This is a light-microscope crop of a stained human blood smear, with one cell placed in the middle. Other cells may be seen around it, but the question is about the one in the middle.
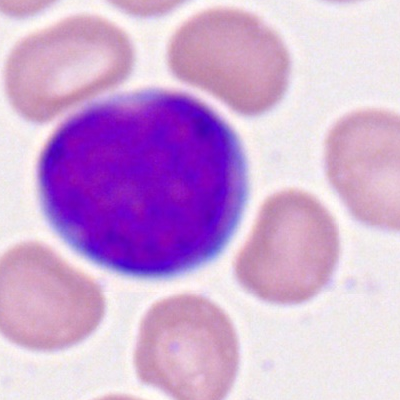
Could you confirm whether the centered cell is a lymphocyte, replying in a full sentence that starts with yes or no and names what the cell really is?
No, the central cell qualifies as a myeloblast rather than as a lymphocyte.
